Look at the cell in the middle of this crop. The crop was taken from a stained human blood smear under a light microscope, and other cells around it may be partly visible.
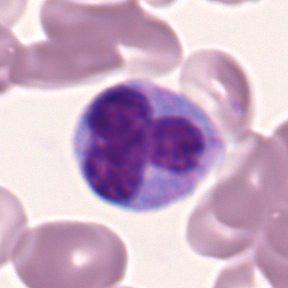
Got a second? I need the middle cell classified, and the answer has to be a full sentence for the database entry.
The cell at the middle of the crop is recognized as a monocyte.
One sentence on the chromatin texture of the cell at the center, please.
If you check the nucleus, you will find the chromatin coarsely clumped.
